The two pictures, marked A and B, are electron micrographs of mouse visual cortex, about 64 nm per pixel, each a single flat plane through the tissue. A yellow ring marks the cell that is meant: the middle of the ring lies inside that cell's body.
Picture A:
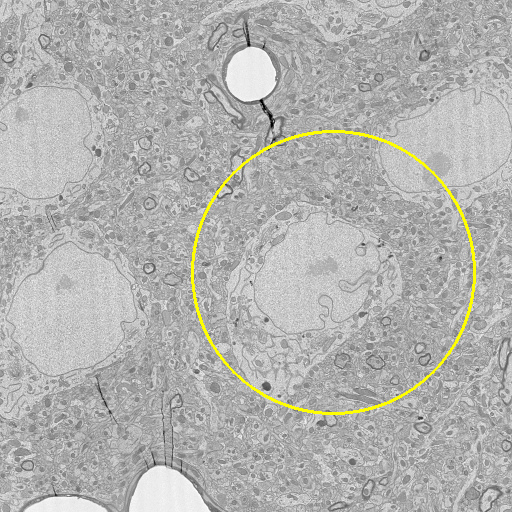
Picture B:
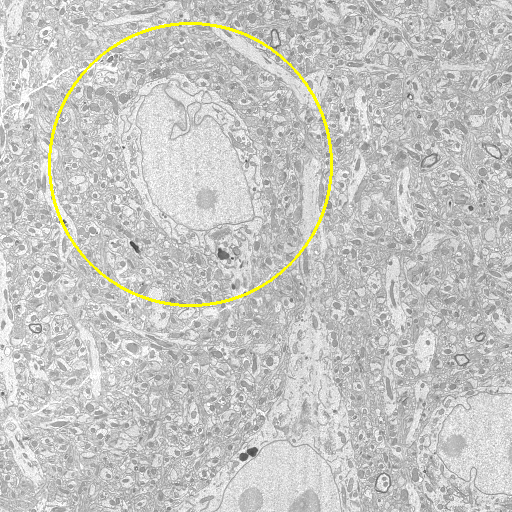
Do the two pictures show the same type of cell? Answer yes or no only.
yes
